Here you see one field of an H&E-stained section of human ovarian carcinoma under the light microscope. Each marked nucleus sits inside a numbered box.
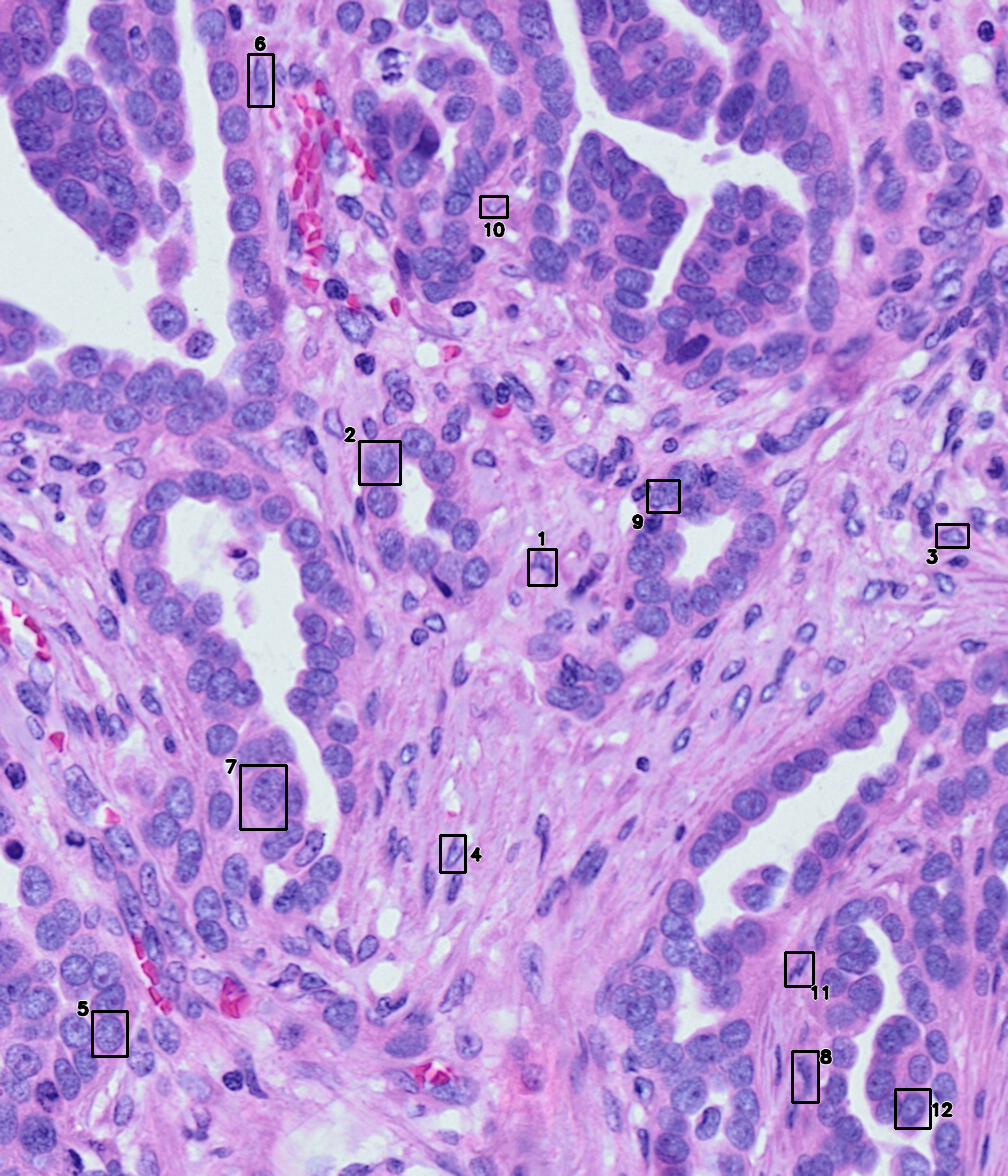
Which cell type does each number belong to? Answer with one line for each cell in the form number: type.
1: fibroblast
2: carcinoma cell
3: fibroblast
4: fibroblast
5: carcinoma cell
6: fibroblast
7: carcinoma cell
8: fibroblast
9: carcinoma cell
10: fibroblast
11: fibroblast
12: carcinoma cell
